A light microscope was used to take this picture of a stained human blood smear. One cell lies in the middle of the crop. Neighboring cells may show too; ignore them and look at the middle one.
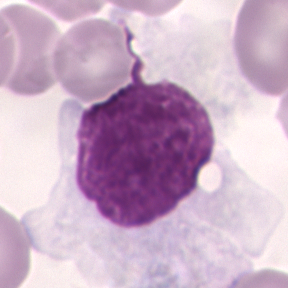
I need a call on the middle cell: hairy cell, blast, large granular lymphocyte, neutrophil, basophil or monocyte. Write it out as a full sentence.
Seen at the centre of the crop is a hairy cell.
